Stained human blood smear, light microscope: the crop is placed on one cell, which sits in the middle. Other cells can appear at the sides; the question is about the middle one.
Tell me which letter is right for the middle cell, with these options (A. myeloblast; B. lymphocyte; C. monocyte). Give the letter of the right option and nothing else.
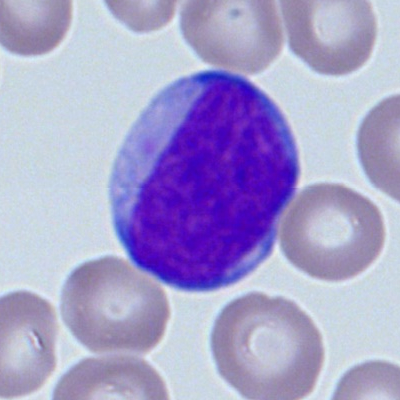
A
